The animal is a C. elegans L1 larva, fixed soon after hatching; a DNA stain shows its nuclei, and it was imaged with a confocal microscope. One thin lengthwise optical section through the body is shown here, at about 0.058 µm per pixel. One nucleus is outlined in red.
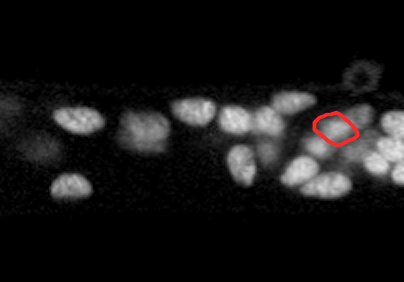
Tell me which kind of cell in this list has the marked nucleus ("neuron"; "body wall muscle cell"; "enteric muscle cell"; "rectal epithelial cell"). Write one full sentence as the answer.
This is the nucleus of a neuron.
